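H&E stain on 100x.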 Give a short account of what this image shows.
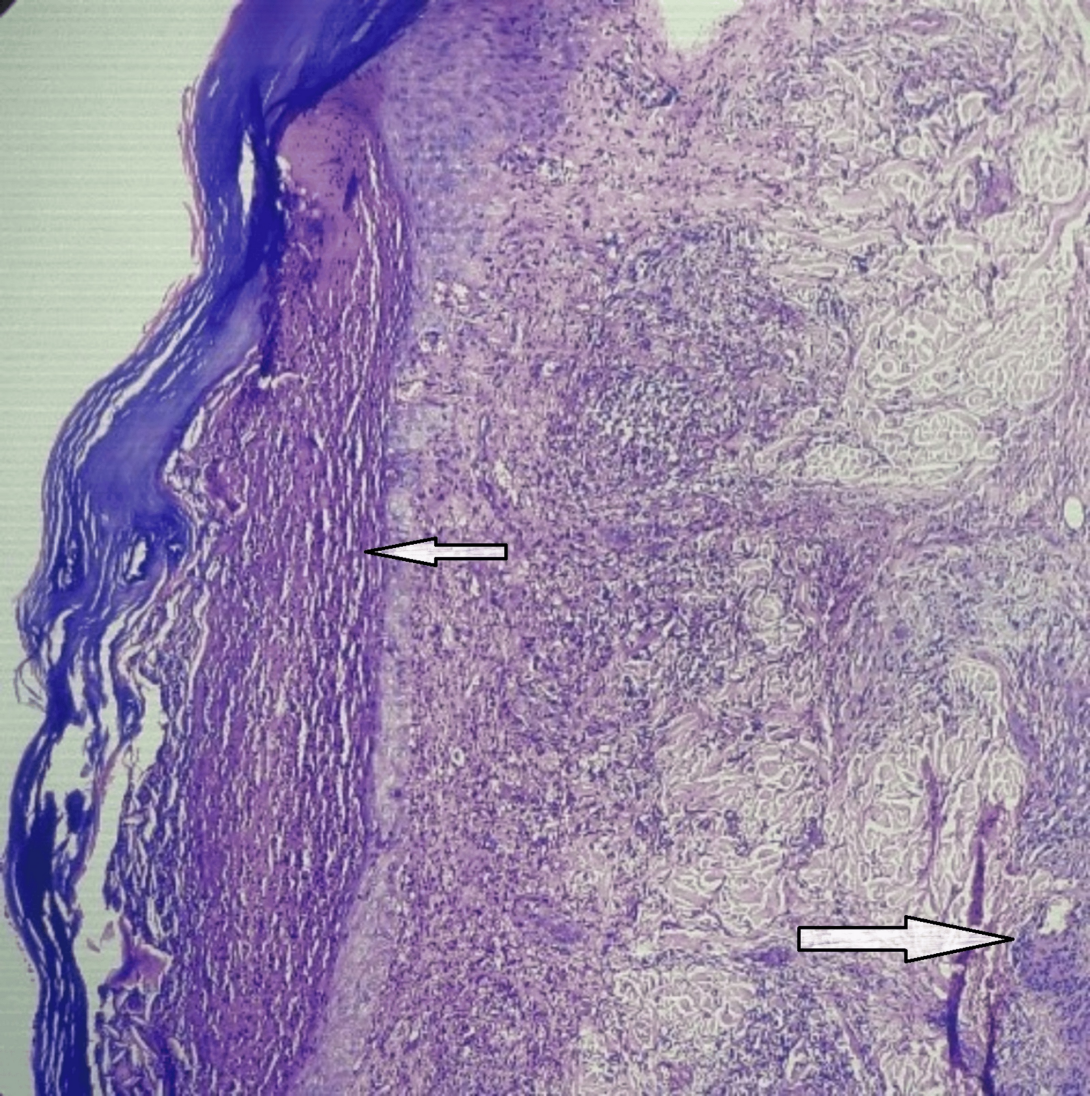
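This is a section of skin with the epidermis along the left edge and the dermis filling the rest of the field. The surface carries a markedly thickened, compact, layered cornified layer that stains dark purple. Just beneath this cornified layer lies a band packed with small dark nuclei, a collection of inflammatory cells sitting under the cornified layer. The underlying dermis is crowded with a dense inflammatory infiltrate of small dark nuclei, which gathers in clusters among pale pink collagen bundles and extends deep into the section.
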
